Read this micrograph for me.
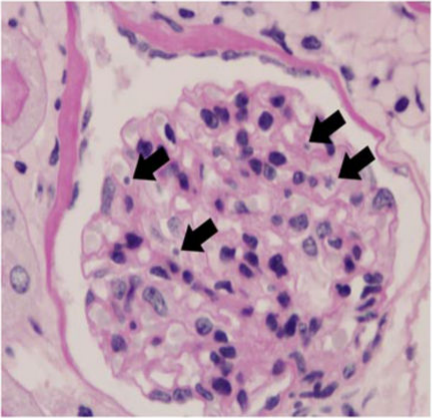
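The capillary walls are outlined in magenta, and the tuft is crowded with dark blue nuclei. Scattered among them are several small, very dark, condensed nuclei, smaller than their neighbours, consistent with apoptotic cells in the capillary tuft. Tubules and interstitium border the capsule outside.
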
